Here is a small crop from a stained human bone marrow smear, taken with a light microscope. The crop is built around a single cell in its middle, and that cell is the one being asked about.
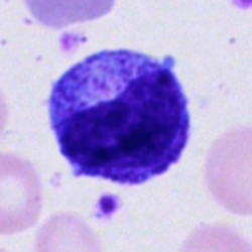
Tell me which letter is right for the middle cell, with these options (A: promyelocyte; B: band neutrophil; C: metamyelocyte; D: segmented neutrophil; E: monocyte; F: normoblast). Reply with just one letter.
C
